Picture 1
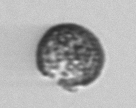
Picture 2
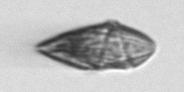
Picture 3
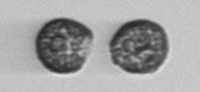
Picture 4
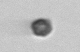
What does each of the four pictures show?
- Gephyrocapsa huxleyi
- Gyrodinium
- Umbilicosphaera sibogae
Picture 1: Umbilicosphaera sibogae
Picture 2: Gyrodinium
Picture 3: Umbilicosphaera sibogae
Picture 4: Gephyrocapsa huxleyi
